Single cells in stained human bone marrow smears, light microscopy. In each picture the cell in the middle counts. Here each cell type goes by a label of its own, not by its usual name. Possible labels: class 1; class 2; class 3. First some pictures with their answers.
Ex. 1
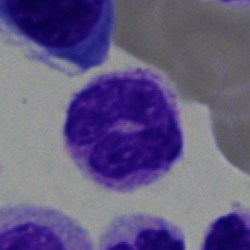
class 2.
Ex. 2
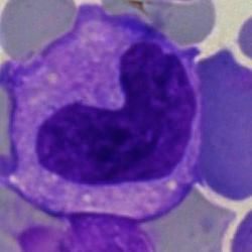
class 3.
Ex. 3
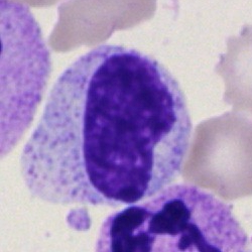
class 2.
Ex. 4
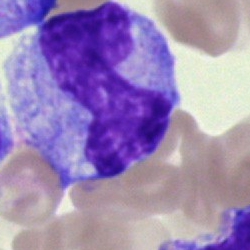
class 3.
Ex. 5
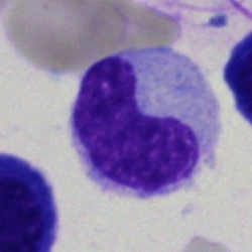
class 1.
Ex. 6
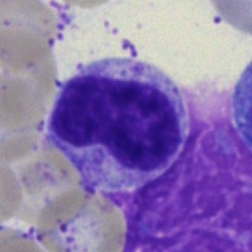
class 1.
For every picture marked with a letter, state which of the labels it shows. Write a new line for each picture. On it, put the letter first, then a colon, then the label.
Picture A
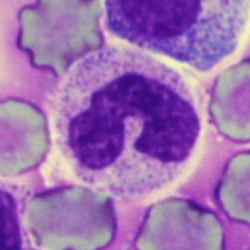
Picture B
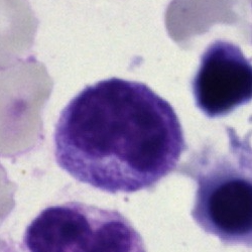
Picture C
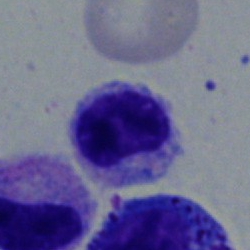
A: class 2.
B: class 1.
C: class 1.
